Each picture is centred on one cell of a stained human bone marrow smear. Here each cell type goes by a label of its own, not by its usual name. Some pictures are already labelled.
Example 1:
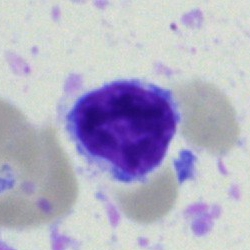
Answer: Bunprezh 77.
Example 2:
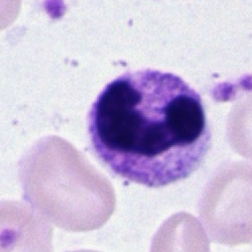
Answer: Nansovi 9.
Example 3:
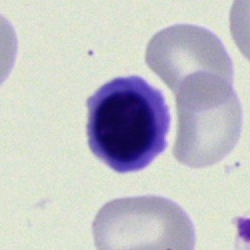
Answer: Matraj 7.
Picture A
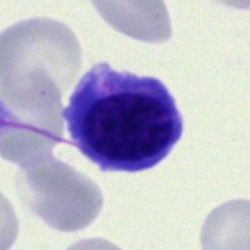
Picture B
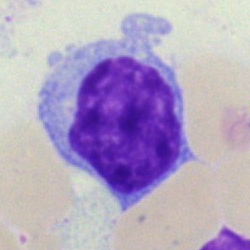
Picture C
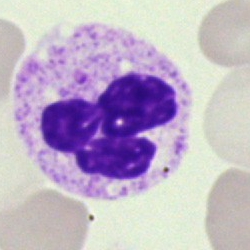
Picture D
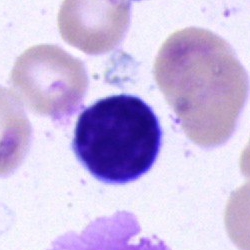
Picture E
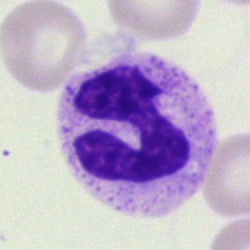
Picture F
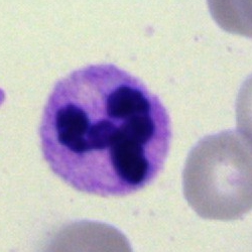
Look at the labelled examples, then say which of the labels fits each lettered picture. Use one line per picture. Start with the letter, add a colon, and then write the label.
A: Matraj 7.
B: Bunprezh 77.
C: Nansovi 9.
D: Bunprezh 77.
E: Nansovi 9.
F: Nansovi 9.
